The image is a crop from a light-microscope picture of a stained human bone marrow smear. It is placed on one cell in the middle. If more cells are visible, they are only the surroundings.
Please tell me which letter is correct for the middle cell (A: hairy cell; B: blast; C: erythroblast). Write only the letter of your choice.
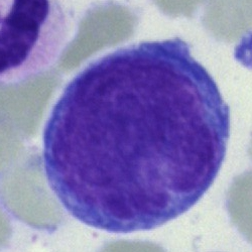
B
